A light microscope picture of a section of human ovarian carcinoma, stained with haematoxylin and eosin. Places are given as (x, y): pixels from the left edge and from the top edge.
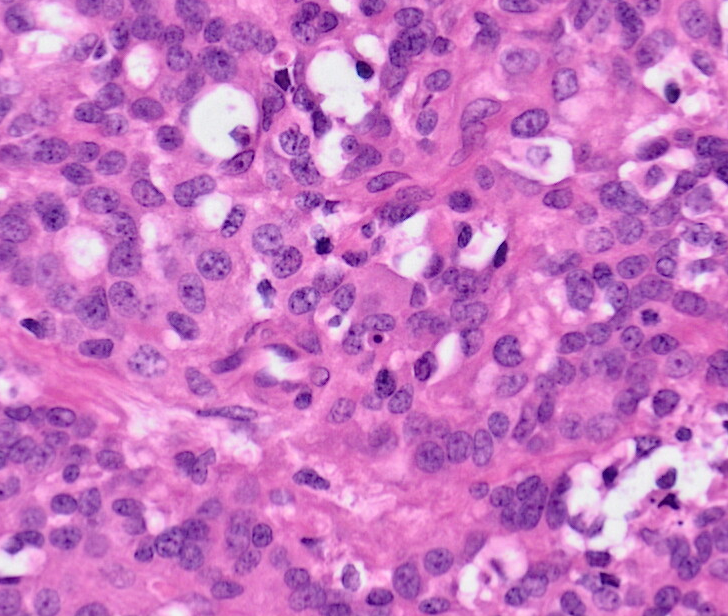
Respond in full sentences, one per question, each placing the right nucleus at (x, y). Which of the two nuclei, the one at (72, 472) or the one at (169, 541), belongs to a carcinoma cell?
As for which of the two, the nucleus at (169, 541) belongs to a carcinoma cell.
